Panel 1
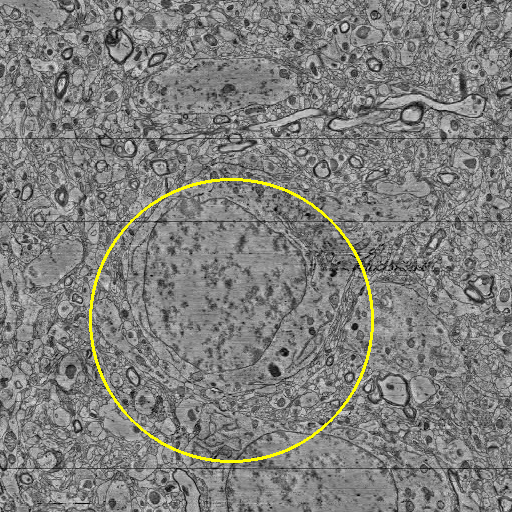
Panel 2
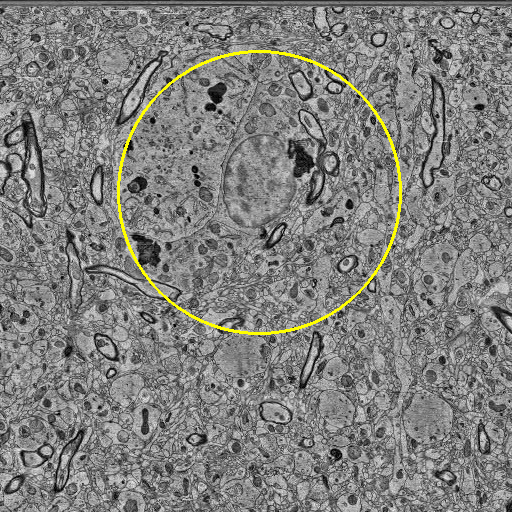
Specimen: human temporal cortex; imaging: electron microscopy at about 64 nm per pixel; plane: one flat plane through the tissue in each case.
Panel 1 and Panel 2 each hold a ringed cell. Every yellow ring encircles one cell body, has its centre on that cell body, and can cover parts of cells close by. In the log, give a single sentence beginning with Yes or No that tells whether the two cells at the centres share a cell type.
No, in Panel 1 and Panel 2 the centred cells are of two cell types.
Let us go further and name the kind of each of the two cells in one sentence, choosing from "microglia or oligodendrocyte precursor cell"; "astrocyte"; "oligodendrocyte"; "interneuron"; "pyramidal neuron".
The ring of the first picture is on a pyramidal neuron, the ring of the second on an oligodendrocyte.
